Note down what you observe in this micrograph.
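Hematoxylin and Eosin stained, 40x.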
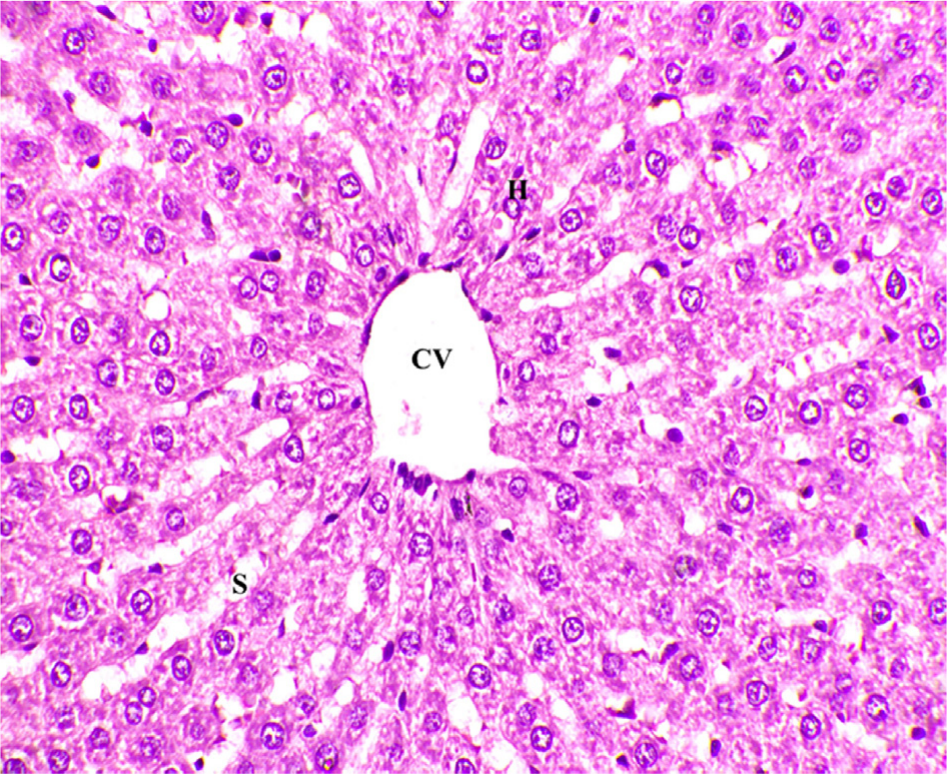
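This is liver tissue centred on a central vein, a rounded empty lumen lined by a few flattened dark nuclei. From the vein, plates of hepatocytes radiate outward like spokes; each hepatocyte is a large polygonal cell with pink granular cytoplasm and a round central nucleus showing a distinct nucleolus. Between the plates run narrow pale sinusoids, along which small, dark, flattened nuclei can be seen. The regular radial arrangement and intact cells fit normal liver architecture.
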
